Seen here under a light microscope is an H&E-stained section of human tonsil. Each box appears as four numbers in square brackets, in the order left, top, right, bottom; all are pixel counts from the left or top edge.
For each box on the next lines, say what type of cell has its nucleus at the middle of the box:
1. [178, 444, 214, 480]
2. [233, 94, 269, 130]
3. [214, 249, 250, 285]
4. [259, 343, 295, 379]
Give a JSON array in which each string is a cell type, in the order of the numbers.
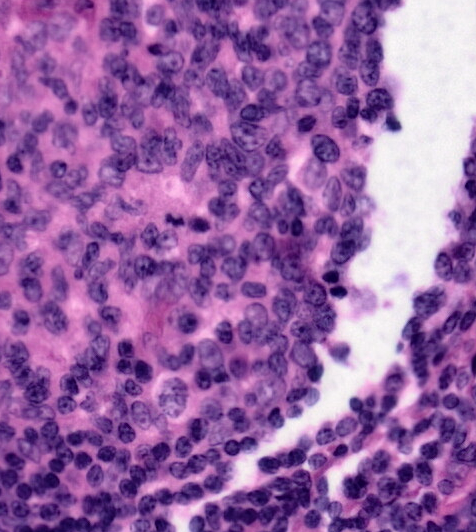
["small lymphocyte", "proliferating B cell", "proliferating B cell", "proliferating B cell"]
